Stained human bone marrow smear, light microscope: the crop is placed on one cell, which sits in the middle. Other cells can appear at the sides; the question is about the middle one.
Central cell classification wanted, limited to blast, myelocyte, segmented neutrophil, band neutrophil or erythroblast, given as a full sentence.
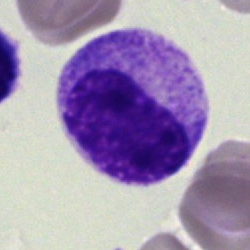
By type, the central cell of the crop is a myelocyte.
